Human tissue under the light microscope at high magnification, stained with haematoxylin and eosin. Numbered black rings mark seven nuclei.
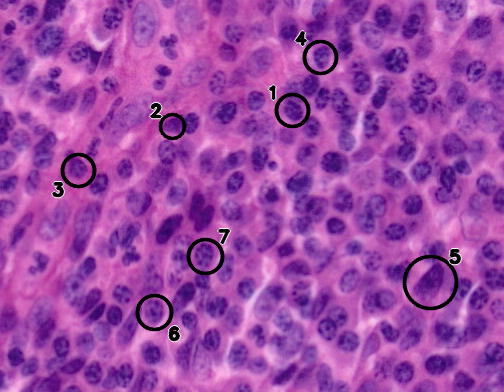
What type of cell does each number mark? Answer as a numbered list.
1. plasma cell
2. squamous epithelial cell
3. squamous epithelial cell
4. plasma cell
5. squamous epithelial cell
6. plasma cell
7. plasma cell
